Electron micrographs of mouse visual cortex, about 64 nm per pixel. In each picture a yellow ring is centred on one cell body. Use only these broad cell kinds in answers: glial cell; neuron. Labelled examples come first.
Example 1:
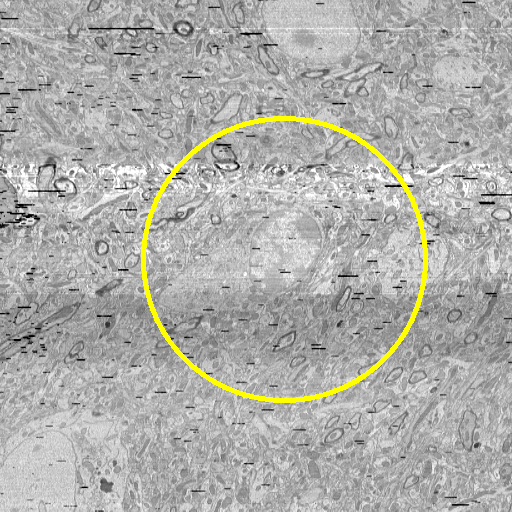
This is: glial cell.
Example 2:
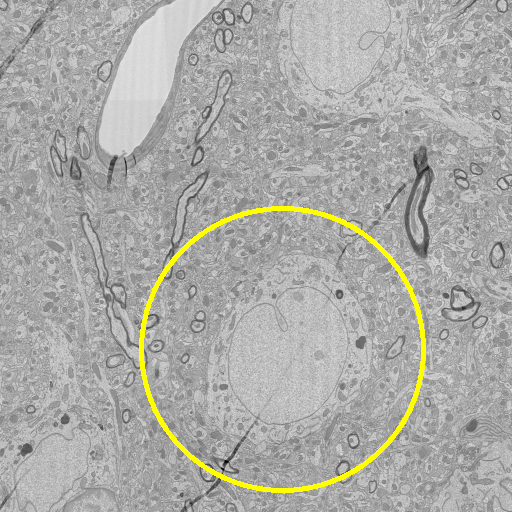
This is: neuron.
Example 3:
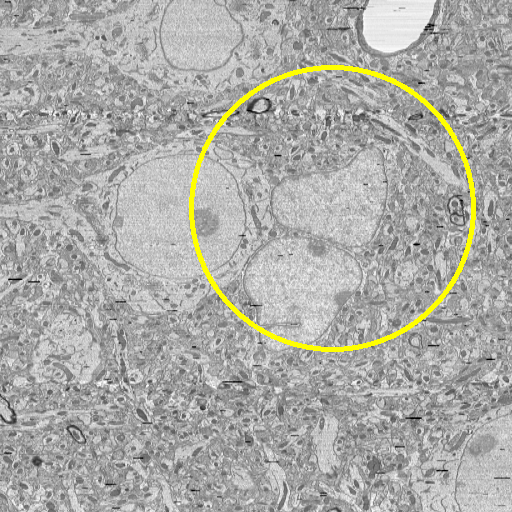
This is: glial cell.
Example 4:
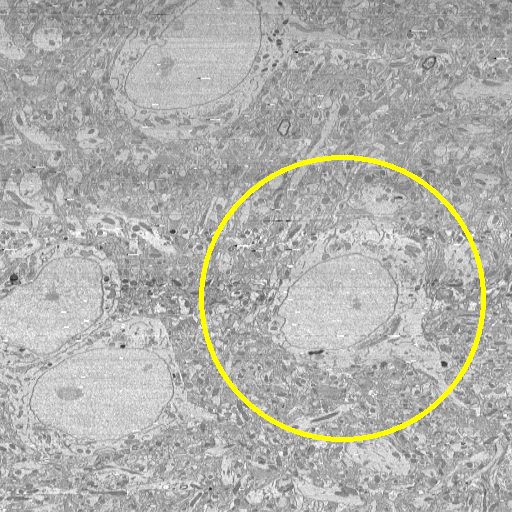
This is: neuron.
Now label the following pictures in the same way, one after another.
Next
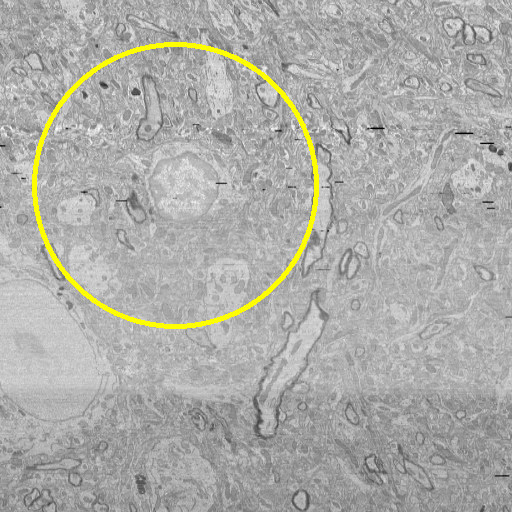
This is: glial cell.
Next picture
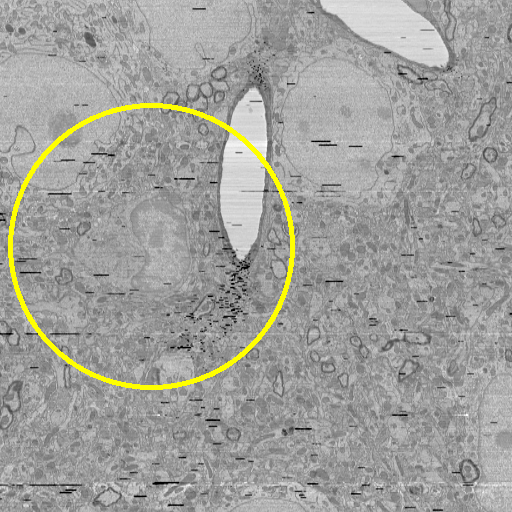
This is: glial cell.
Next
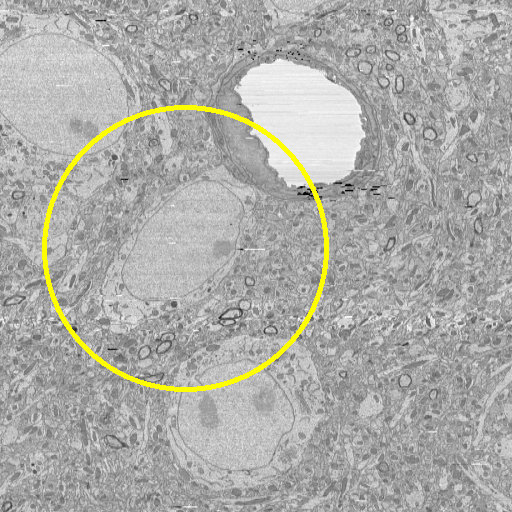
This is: neuron.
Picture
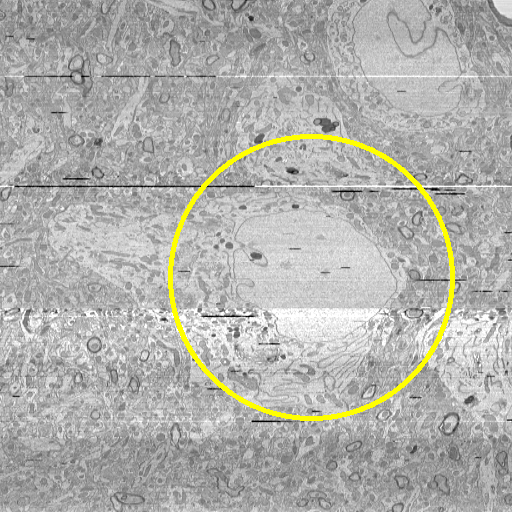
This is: neuron.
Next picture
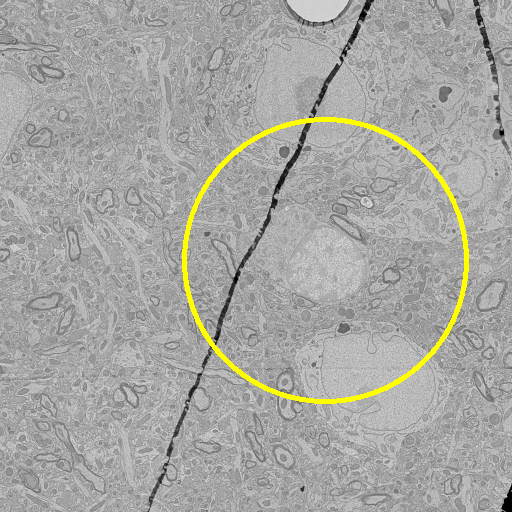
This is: glial cell.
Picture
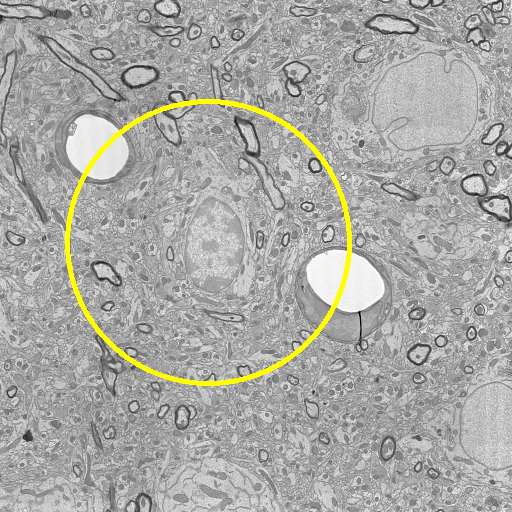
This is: glial cell.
